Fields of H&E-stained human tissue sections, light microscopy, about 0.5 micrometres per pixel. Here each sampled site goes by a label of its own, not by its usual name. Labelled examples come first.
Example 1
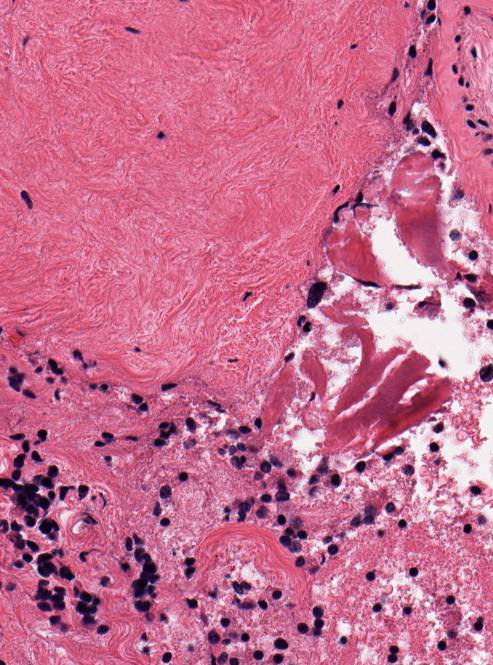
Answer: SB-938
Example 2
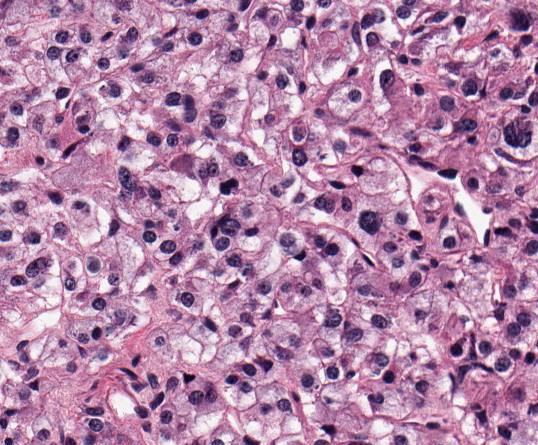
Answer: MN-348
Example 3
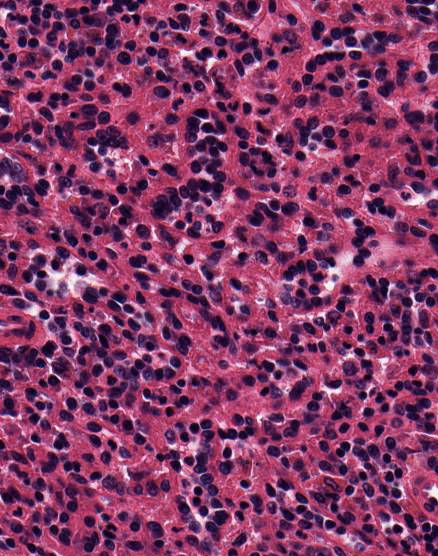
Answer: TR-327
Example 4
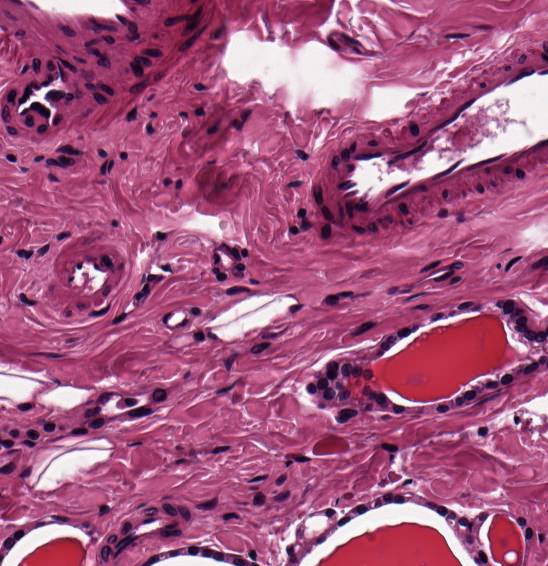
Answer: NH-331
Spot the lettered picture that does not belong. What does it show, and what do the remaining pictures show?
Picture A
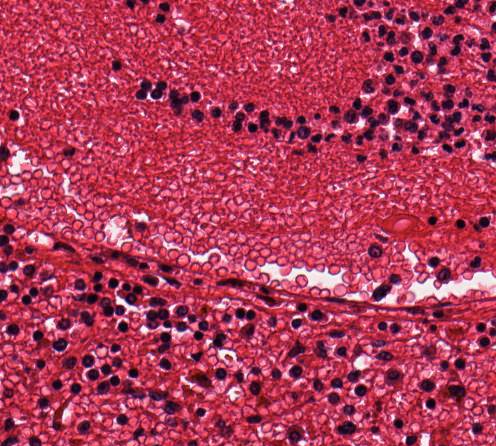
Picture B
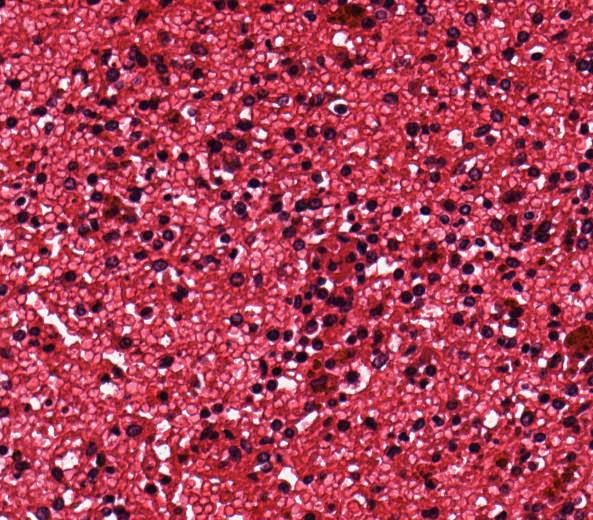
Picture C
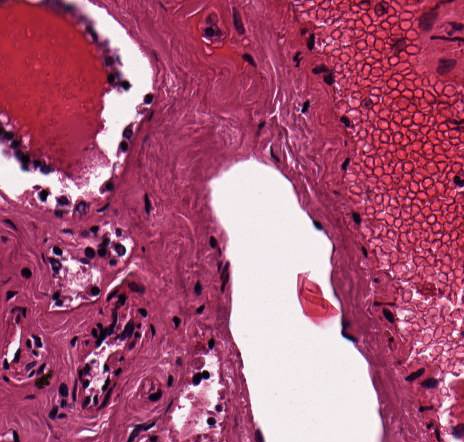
Different: C, NH-331. Others: TR-327.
